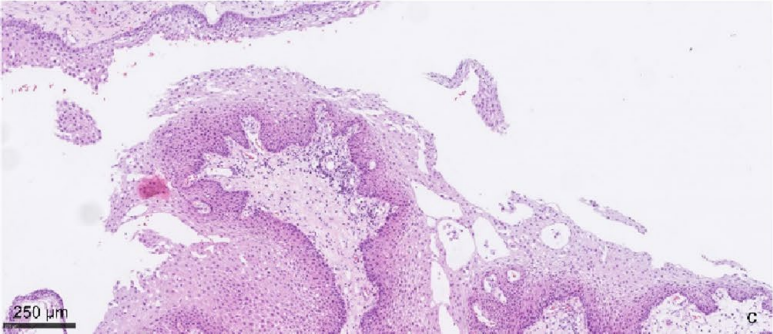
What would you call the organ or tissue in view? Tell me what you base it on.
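Thick layers of stratified epithelial cells with pink cytoplasm. Epithelium covers finger-like stromal projections. The answer: squamous epithelium.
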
